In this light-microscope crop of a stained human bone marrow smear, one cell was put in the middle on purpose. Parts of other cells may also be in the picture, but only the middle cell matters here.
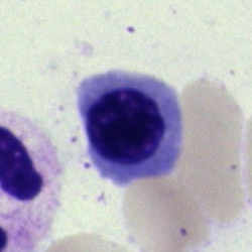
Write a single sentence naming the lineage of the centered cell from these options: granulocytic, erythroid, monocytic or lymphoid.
The cell at the center belongs, by lineage, to the erythroid line.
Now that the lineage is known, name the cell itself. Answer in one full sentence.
Located at the centre of the crop is an erythroblast.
